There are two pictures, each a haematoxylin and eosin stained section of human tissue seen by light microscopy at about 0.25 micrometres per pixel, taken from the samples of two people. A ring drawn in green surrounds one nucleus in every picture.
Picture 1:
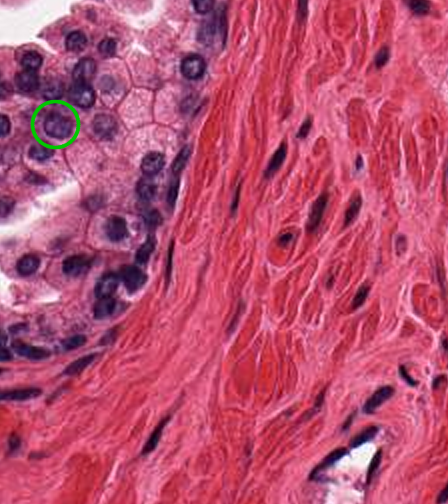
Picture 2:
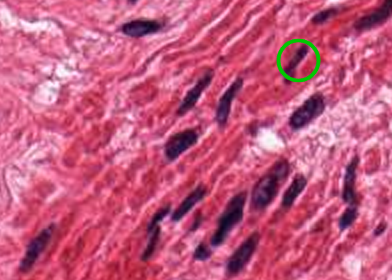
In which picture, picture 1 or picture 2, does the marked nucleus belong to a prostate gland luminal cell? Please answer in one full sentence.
Marked in picture 1 is the nucleus of a prostate gland luminal cell.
